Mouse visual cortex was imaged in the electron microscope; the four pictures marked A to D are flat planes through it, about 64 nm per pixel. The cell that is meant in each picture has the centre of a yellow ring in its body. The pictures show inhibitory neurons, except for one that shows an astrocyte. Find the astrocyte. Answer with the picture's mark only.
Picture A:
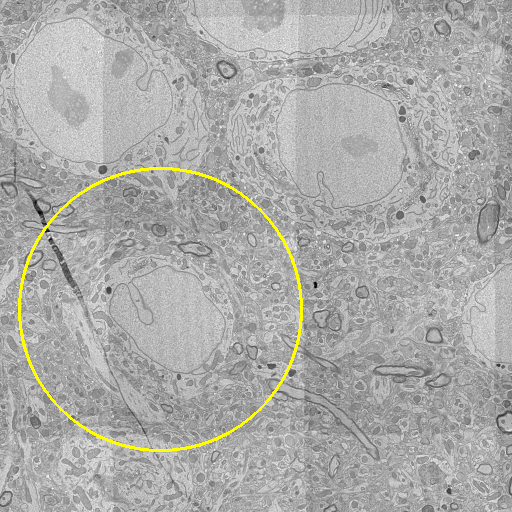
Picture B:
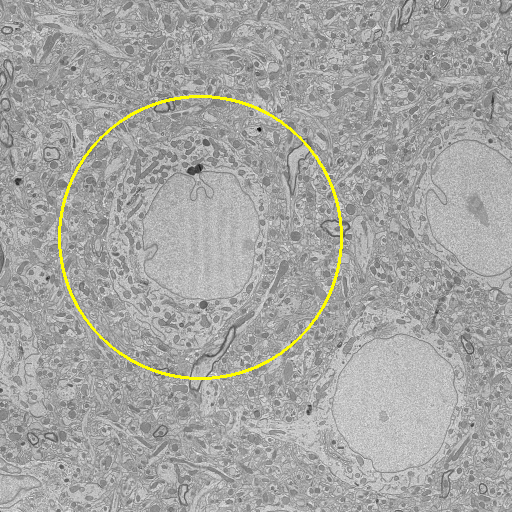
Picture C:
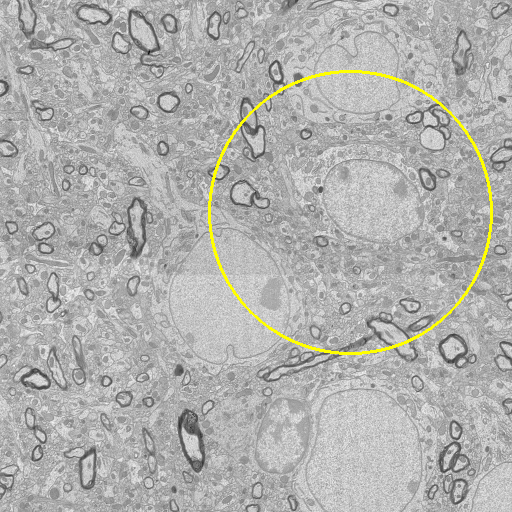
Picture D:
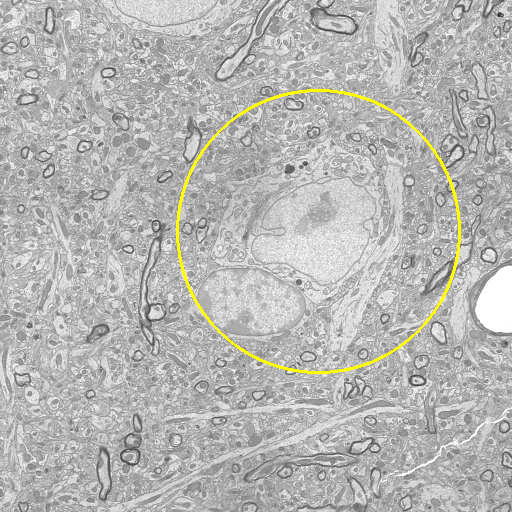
C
